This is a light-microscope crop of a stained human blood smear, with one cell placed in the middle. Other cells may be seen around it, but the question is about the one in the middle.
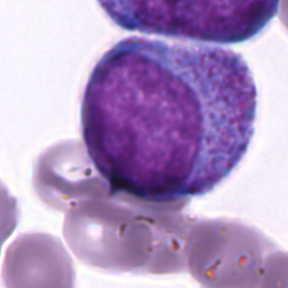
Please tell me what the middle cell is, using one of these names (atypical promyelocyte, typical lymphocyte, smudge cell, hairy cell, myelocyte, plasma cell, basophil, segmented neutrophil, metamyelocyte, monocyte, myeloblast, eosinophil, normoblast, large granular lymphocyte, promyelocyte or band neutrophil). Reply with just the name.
promyelocyte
